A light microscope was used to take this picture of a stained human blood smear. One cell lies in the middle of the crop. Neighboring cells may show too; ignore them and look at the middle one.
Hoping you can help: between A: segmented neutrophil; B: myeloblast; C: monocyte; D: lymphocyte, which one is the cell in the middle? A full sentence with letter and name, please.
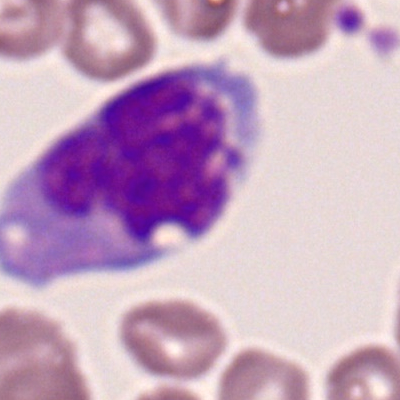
Option C is the keyed answer: the cell in the middle is a monocyte.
